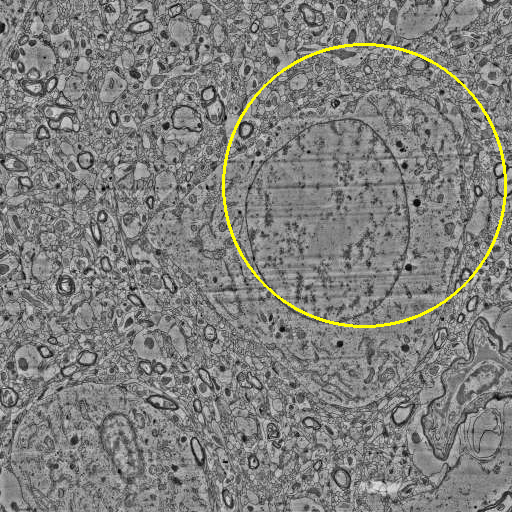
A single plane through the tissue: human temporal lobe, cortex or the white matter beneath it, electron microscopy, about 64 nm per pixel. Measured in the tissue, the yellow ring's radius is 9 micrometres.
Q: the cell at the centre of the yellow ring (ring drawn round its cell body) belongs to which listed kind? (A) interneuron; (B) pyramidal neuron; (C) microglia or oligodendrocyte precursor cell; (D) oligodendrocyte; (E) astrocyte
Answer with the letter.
B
